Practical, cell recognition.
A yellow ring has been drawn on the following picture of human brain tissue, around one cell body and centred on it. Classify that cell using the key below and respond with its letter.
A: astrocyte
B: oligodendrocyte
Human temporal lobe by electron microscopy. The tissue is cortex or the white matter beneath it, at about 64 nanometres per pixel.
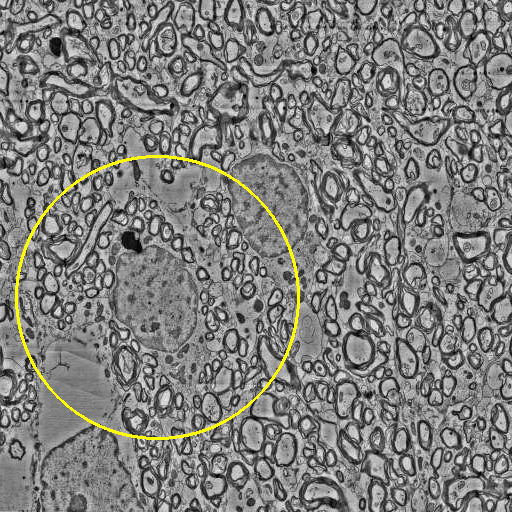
B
